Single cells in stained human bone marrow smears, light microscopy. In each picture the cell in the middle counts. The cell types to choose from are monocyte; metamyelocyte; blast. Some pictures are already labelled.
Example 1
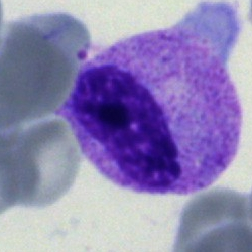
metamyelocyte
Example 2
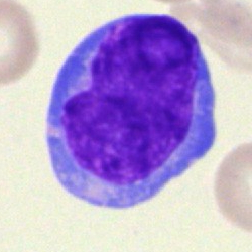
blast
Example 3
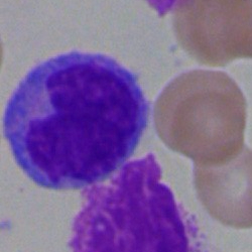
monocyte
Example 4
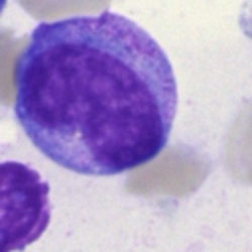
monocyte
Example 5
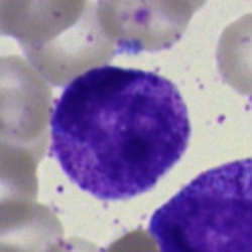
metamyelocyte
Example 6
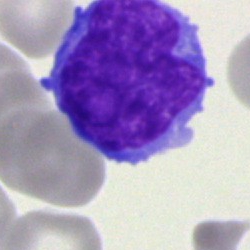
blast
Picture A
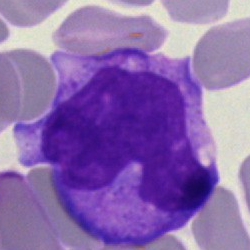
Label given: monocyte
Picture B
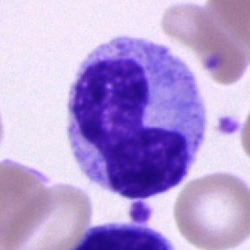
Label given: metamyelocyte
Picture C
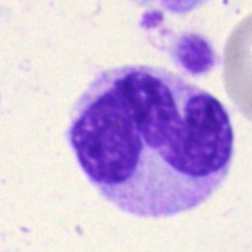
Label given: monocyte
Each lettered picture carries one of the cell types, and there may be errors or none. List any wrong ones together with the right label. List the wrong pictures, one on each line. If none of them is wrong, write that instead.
Nothing to fix; every label fits.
